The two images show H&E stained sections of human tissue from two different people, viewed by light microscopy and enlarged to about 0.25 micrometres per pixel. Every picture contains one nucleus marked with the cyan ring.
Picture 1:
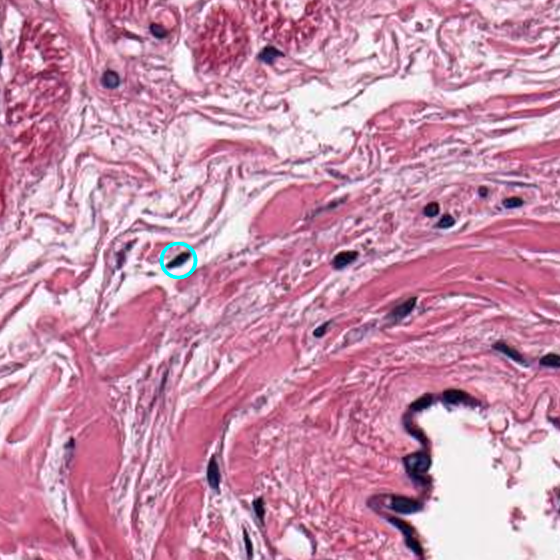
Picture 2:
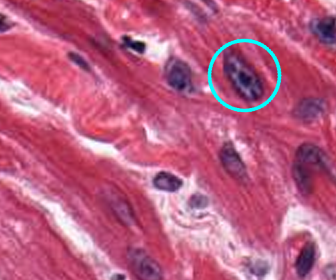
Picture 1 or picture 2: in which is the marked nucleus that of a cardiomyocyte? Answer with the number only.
2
